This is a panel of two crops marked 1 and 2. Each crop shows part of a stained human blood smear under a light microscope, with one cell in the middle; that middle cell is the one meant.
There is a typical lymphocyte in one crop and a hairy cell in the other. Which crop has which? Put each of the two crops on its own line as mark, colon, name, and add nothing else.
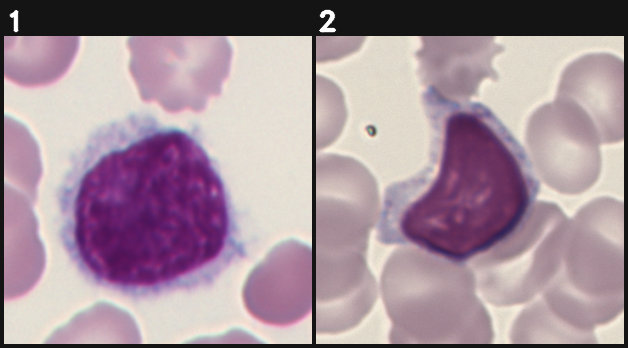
1: hairy cell
2: typical lymphocyte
